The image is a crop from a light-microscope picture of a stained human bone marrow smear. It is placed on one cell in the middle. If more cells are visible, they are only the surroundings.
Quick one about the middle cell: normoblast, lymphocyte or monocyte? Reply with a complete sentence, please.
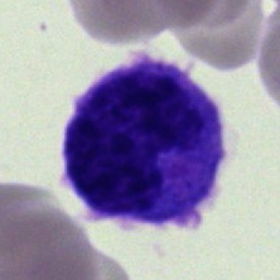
What sits at the centre of this crop is a monocyte.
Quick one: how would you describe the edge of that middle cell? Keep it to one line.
As for its outline, the cell is irregular, ragged or drawn into projections.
